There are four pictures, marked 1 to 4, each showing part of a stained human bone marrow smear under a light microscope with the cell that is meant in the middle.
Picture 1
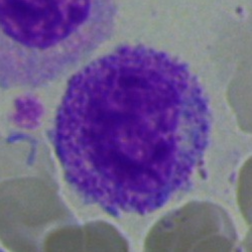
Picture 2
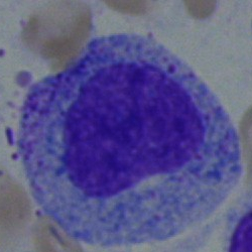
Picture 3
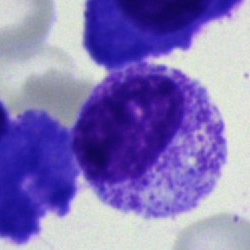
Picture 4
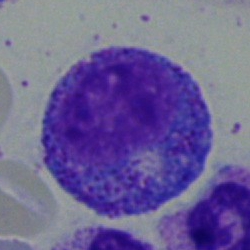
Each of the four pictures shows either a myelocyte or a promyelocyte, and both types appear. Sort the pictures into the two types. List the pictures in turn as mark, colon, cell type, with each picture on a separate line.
1: myelocyte
2: promyelocyte
3: myelocyte
4: promyelocyte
